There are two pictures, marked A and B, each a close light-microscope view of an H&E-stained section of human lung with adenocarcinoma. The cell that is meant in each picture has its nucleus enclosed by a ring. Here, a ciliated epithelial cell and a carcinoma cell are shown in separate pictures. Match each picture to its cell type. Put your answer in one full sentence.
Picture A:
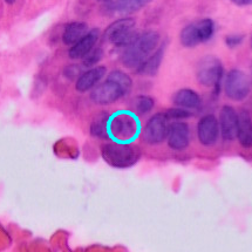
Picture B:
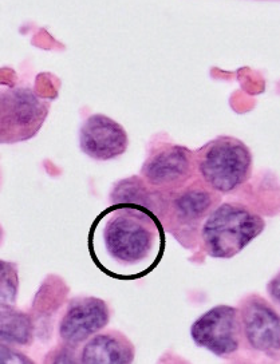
In picture A the cell is a ciliated epithelial cell; in picture B, a carcinoma cell.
